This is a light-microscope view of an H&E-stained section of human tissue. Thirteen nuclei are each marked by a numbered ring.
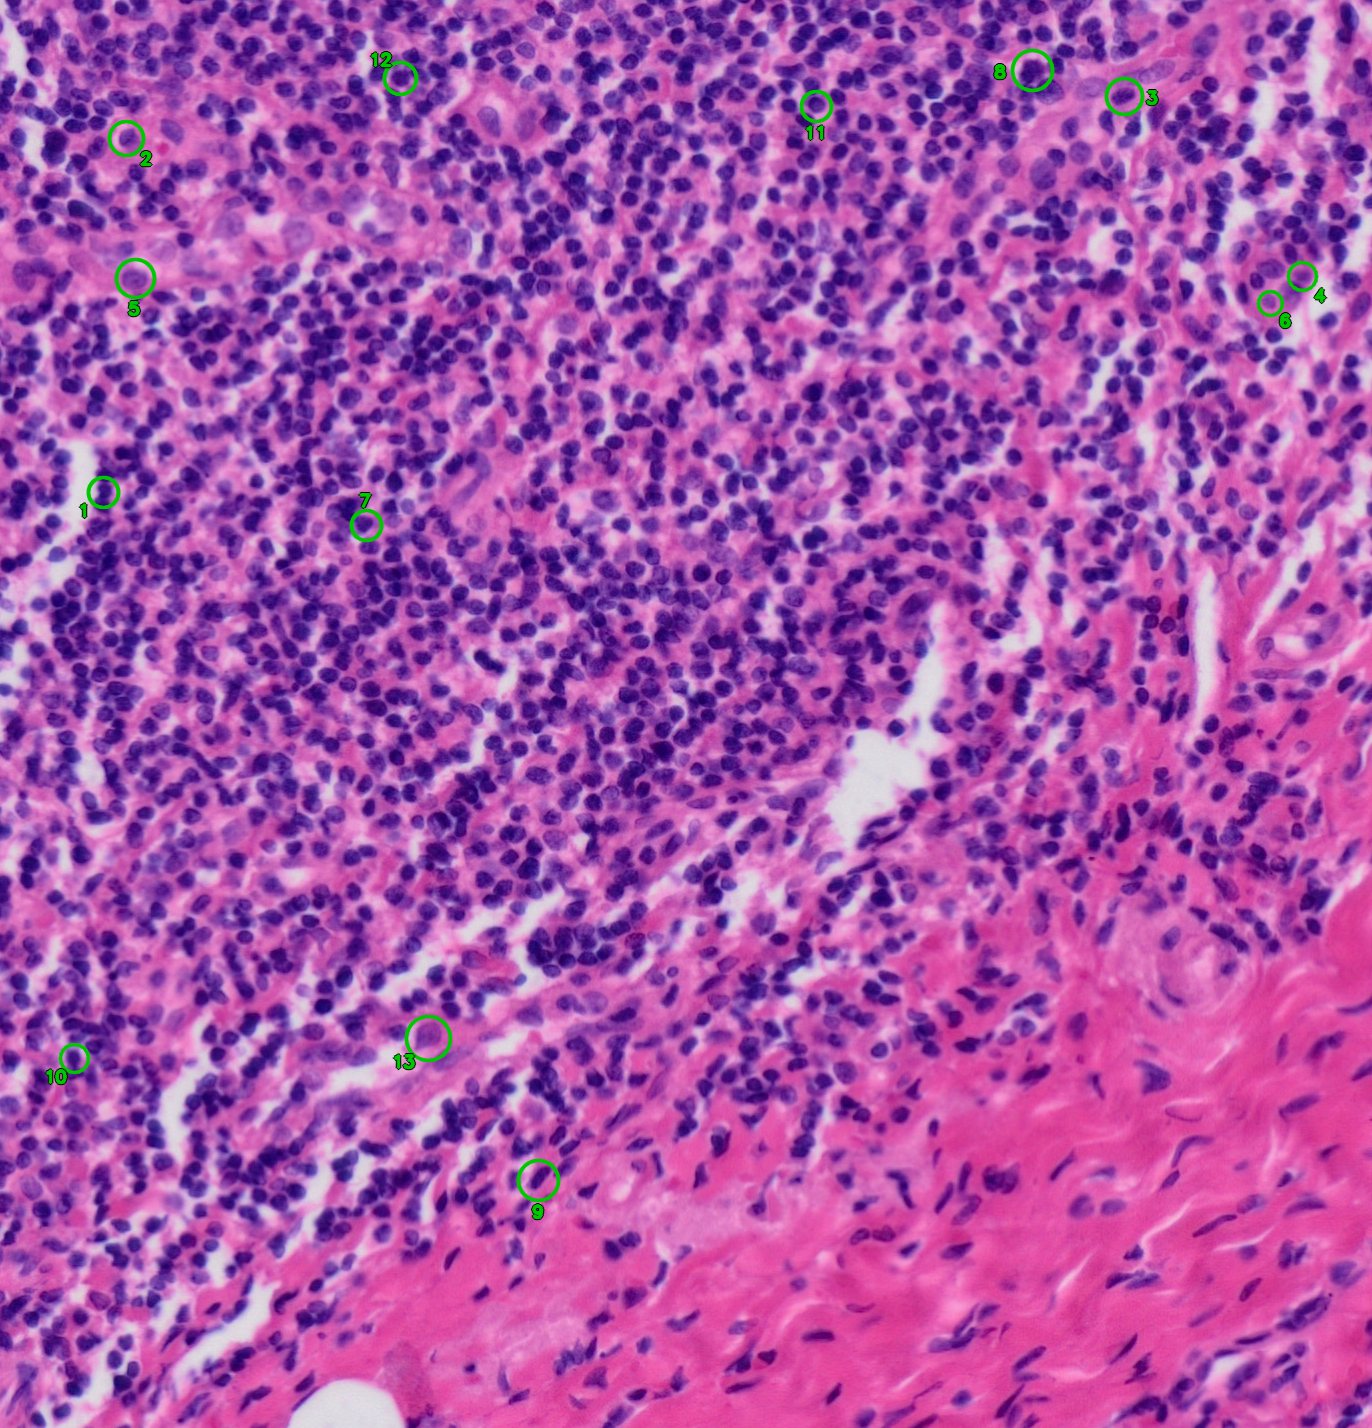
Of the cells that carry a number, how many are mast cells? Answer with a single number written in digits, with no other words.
1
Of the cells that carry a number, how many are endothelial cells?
6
